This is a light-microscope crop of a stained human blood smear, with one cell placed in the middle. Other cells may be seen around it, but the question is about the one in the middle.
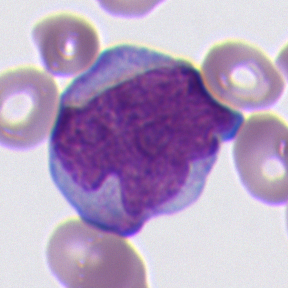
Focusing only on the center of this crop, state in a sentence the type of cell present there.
At the crop's centre, the cell is an atypical promyelocyte.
